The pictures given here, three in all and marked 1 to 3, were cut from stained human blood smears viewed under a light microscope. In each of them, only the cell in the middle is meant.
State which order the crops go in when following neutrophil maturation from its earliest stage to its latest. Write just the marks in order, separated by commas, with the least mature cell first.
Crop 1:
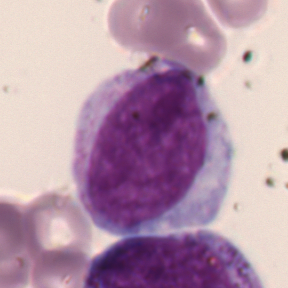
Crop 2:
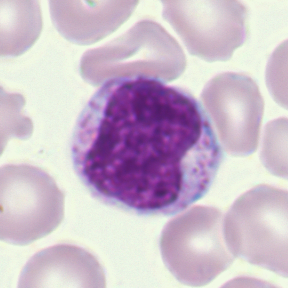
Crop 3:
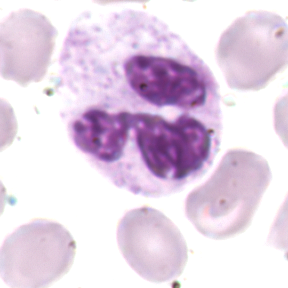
1, 2, 3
